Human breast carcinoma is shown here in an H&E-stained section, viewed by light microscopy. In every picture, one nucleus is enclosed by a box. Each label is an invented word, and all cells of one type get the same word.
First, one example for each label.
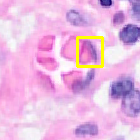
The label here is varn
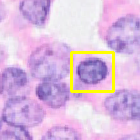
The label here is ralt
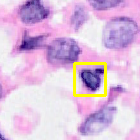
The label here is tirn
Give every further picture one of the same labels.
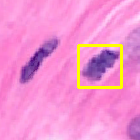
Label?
tirn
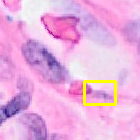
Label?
varn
